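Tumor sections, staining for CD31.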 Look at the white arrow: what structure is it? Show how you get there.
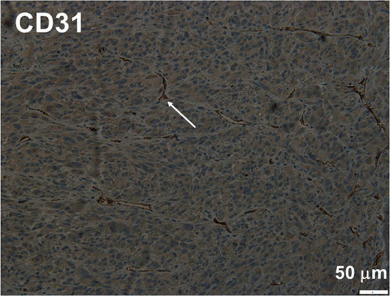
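The arrow points to a thin brown-stained branching line. Several similar narrow brown tubular profiles run between the tumor cells.
Hence: capillaries.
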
